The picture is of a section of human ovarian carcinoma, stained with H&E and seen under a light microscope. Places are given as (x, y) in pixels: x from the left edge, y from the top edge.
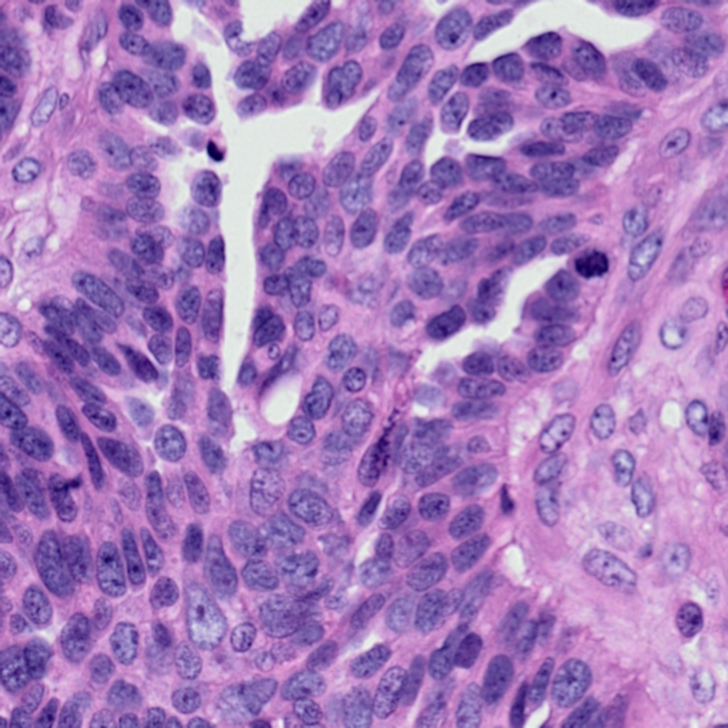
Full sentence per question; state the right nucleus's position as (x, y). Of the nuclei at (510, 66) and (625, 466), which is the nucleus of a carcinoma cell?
It is at (510, 66) that the nucleus of a carcinoma cell is found.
